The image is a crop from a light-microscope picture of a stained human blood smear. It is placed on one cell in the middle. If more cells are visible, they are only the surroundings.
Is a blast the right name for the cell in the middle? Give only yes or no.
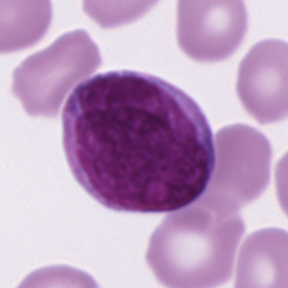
yes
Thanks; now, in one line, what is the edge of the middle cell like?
In short, the margin is smooth with no projections at all.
